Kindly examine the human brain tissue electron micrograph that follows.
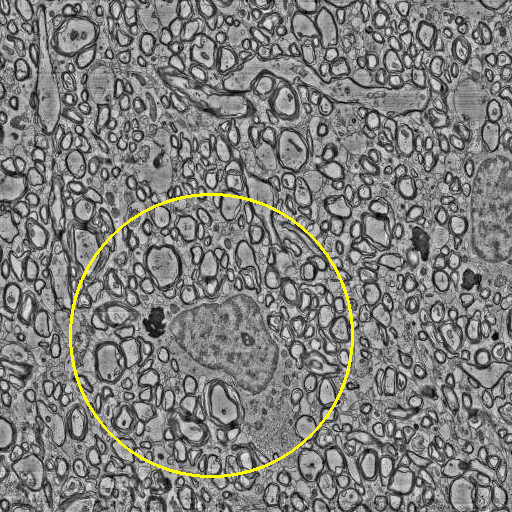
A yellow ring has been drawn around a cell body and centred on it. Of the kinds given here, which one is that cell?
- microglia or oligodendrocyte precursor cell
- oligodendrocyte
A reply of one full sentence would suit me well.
The micrograph's ringed cell, the one at the ring's centre, is an oligodendrocyte.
